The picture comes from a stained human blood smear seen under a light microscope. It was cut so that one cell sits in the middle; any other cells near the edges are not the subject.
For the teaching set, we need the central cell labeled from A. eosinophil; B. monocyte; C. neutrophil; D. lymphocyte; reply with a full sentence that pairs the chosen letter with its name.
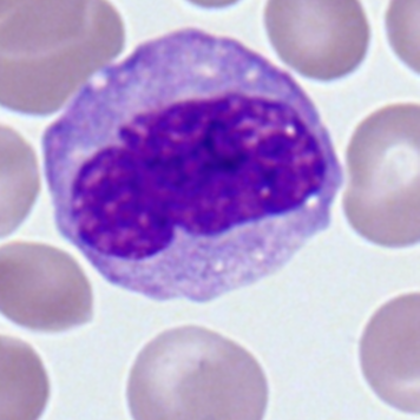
Occupying the middle of the crop is a monocyte, hence option B is correct.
